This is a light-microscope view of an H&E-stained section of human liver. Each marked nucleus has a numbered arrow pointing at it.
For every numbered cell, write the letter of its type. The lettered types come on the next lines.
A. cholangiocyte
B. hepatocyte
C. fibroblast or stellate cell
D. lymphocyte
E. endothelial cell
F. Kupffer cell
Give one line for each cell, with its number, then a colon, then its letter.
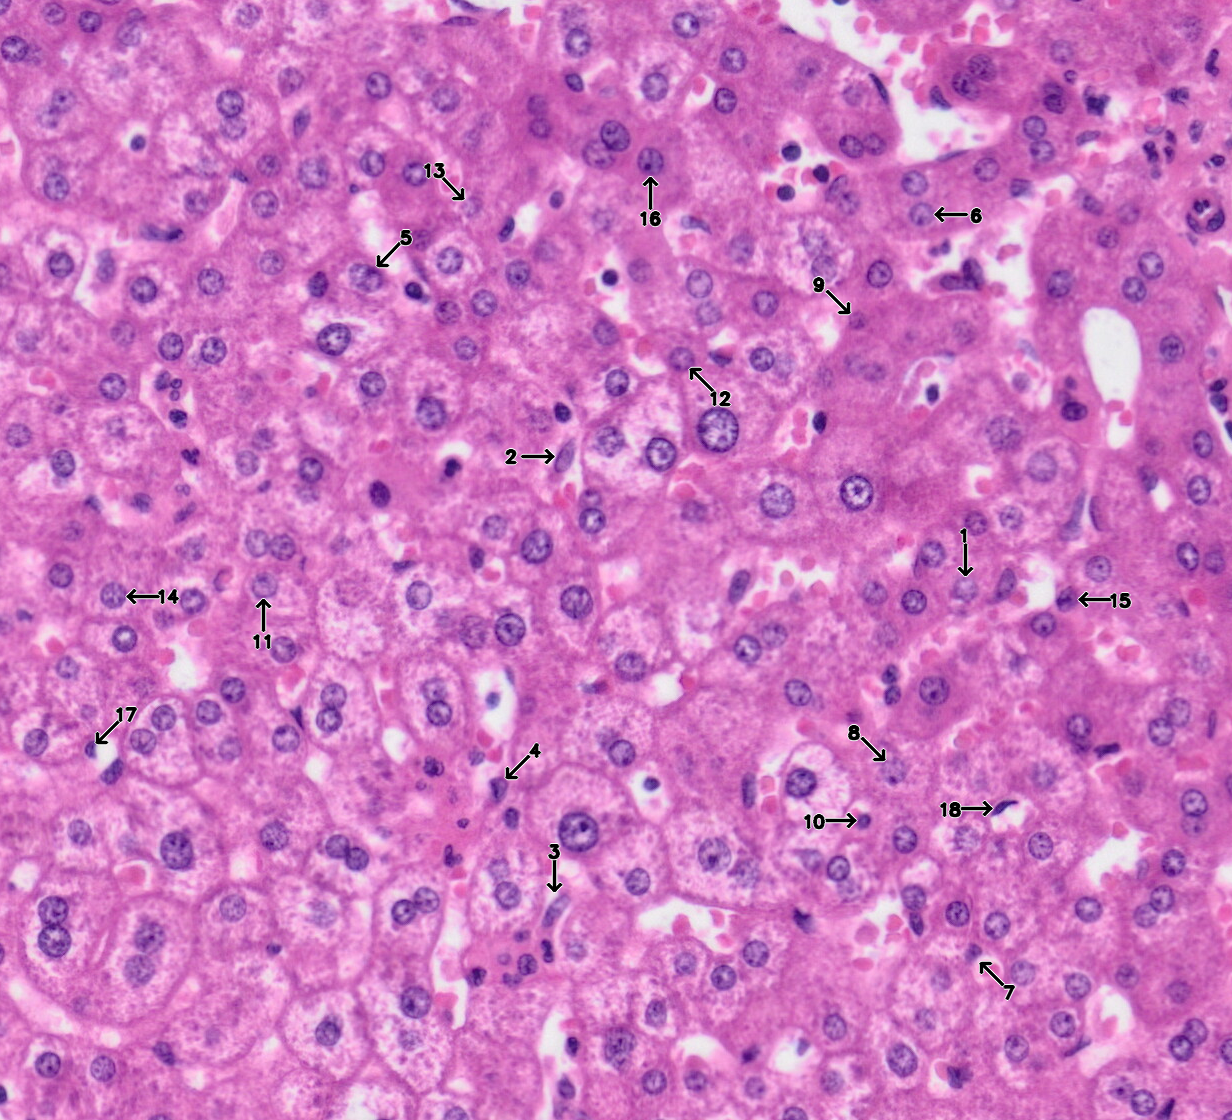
1: B
2: F
3: F
4: F
5: B
6: B
7: E
8: B
9: B
10: D
11: B
12: B
13: B
14: B
15: E
16: B
17: E
18: E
